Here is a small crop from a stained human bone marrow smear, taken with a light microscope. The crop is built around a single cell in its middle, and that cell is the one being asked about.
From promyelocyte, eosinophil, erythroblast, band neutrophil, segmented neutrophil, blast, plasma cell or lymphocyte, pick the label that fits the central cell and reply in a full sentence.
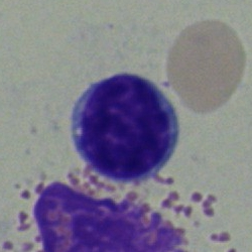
Where the crop is centred, there is a lymphocyte.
